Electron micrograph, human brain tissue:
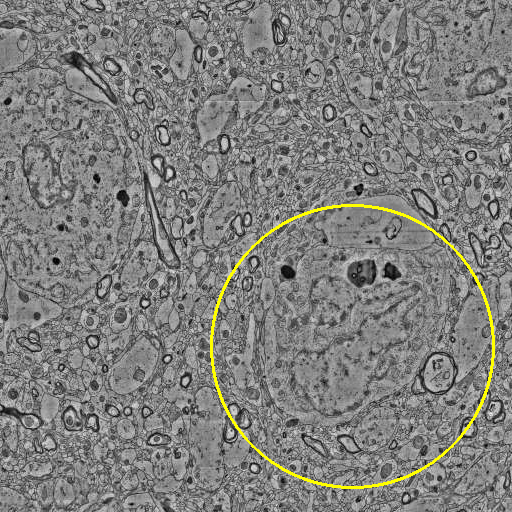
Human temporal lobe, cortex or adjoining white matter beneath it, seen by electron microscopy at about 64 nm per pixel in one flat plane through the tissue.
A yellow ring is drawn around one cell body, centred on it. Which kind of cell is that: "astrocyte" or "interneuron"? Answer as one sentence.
It is an interneuron at the centre of the ring.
